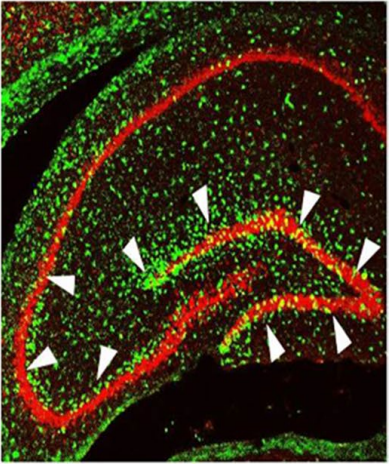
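This is a section of the hippocampus with its neuronal layers in red: the curved band of pyramidal cells and, inside it, the V-shaped band of tightly packed granule cells. Small green cells are scattered densely through the whole field rather than sparsely. They gather especially thickly along and within the granule cell band and near the pyramidal band, where the overlap turns yellowish.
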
